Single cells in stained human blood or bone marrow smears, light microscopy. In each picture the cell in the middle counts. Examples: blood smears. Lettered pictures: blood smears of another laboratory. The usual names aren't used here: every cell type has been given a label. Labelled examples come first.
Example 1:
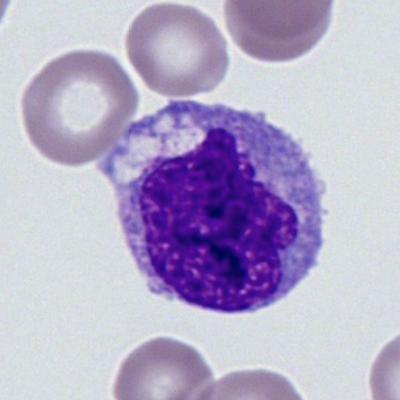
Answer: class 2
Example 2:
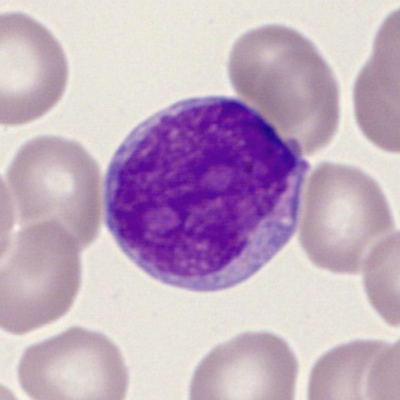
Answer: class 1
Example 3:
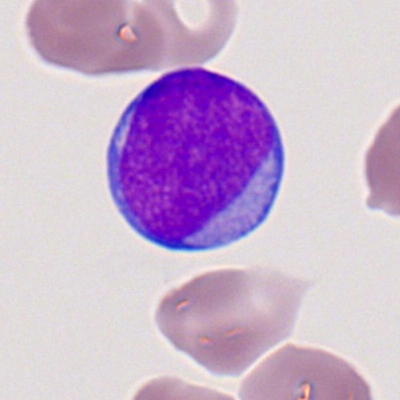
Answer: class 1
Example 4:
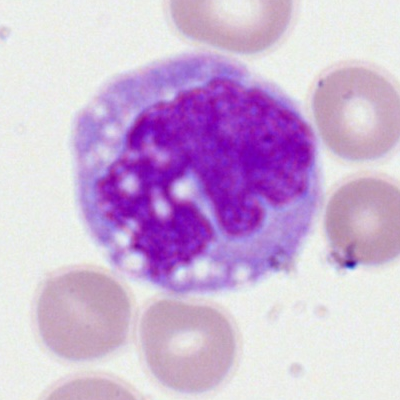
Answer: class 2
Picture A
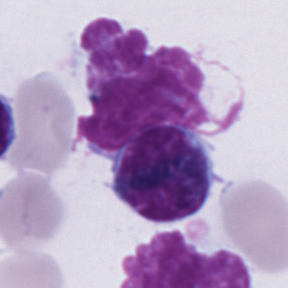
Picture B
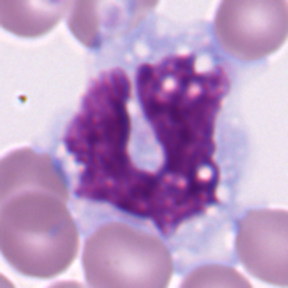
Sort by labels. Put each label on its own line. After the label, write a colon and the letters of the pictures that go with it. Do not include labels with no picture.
class 2: B
class 1: A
